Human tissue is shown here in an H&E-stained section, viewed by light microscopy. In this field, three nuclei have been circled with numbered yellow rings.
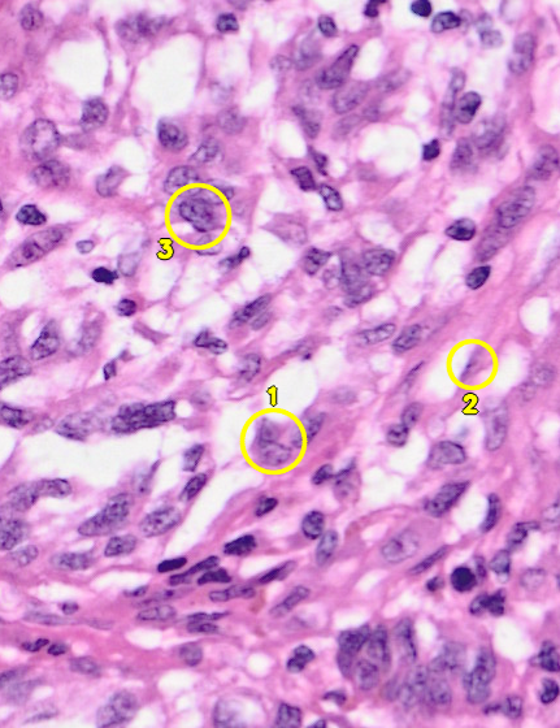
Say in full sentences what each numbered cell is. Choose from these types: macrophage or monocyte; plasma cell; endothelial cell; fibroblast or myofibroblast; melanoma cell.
Cell 1 is a melanoma cell, cell 2 is an endothelial cell and cell 3 is a melanoma cell.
